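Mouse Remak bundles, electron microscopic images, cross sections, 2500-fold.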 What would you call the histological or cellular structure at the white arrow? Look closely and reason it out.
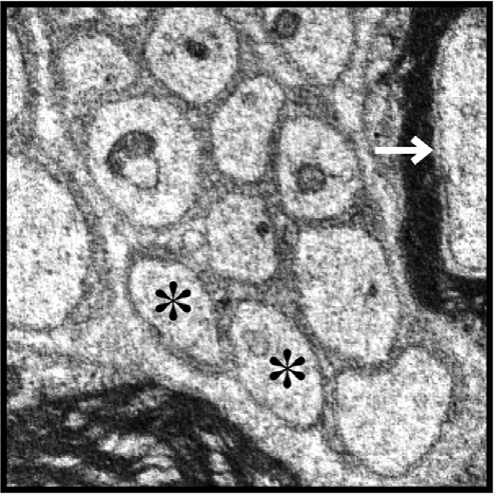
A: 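The arrow points to a pale profile enclosed by a thick, very dark band. This profile is larger than the unwrapped profiles nearby. That points to this answer: large diameter axons surrounded with myelin sheaths.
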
